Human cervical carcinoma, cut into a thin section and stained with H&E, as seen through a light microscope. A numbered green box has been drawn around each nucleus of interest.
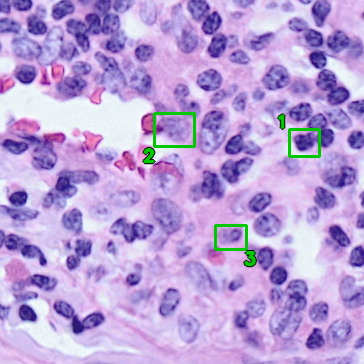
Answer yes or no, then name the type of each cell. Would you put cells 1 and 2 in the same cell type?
No: cell 1 is a lymphocyte, while cell 2 is an endothelial cell.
